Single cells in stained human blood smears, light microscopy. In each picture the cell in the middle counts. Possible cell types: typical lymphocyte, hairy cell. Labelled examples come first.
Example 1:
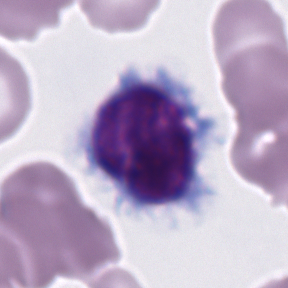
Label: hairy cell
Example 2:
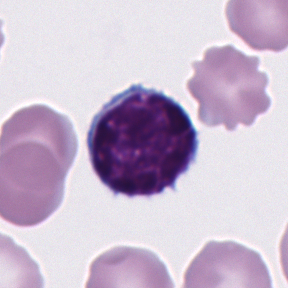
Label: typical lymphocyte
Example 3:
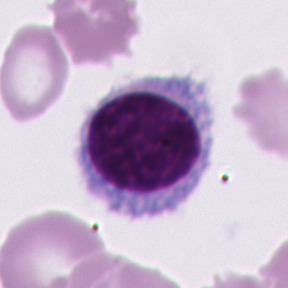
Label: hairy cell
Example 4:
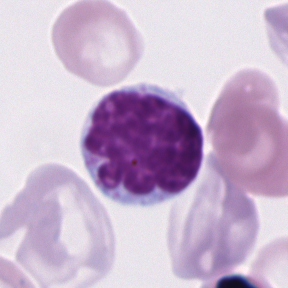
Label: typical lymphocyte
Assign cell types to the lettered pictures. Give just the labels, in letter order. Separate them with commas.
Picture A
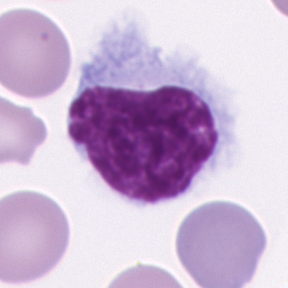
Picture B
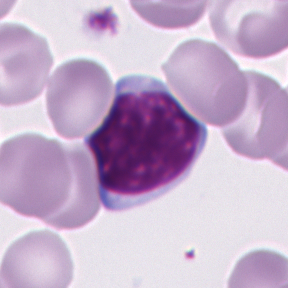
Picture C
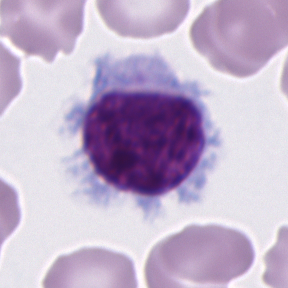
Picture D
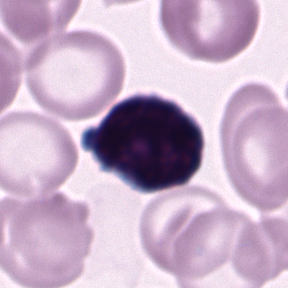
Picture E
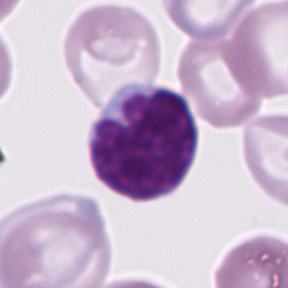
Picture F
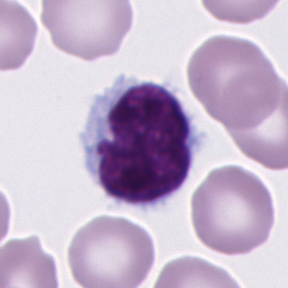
hairy cell, typical lymphocyte, hairy cell, typical lymphocyte, typical lymphocyte, hairy cell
